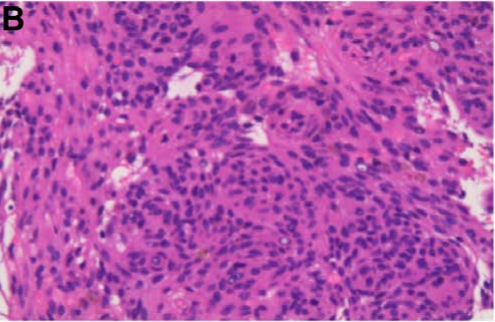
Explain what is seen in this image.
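A dense sheet of cells with pink cytoplasm and ill-defined borders is seen, their oval to elongated purple nuclei fairly uniform and crowded together. The cells curve around common centres in several concentric swirls, with a few small clefts between the groups.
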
